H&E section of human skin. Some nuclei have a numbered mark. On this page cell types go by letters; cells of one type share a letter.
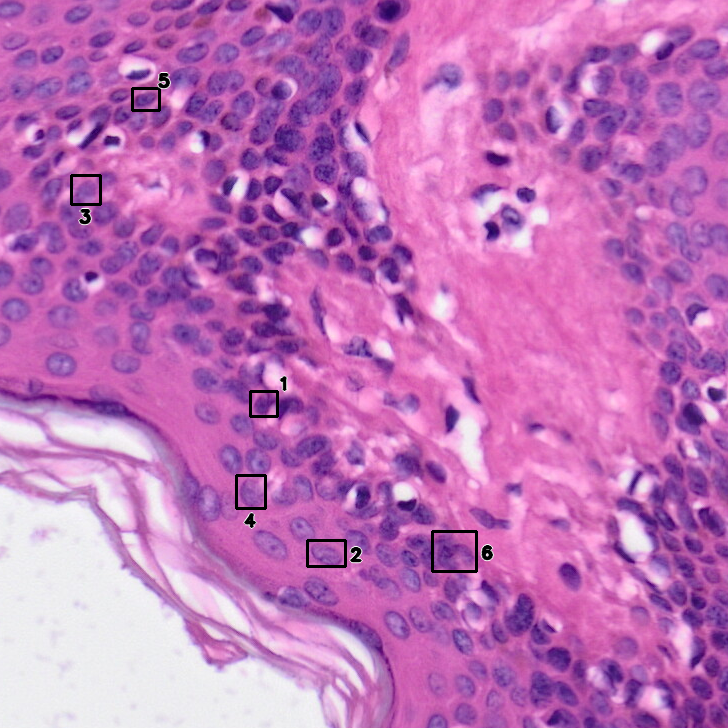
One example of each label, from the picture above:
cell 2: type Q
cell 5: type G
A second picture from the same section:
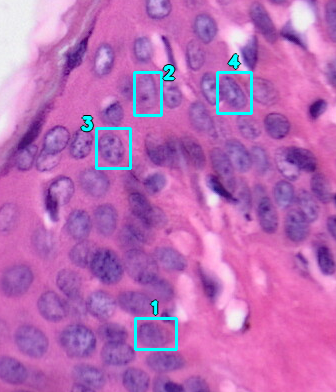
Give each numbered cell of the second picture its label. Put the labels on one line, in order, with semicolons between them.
type G; type Q; type Q; type Q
